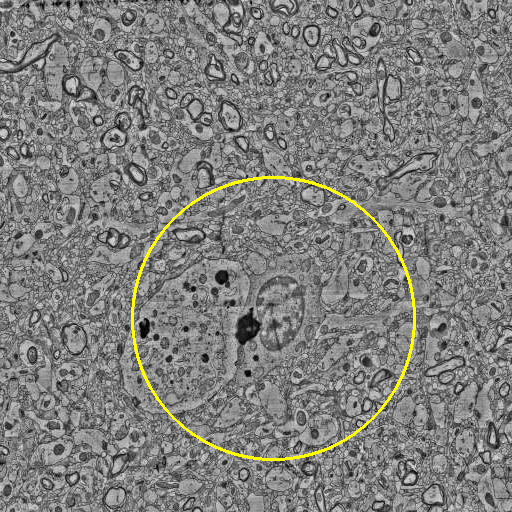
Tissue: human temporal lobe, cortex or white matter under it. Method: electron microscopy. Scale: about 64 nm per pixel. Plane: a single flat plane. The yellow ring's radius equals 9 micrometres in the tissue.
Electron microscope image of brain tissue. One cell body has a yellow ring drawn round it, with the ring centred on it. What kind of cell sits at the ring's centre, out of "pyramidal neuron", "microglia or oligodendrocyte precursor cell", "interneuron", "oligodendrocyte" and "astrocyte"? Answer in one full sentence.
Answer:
It is an oligodendrocyte whose cell body sits at the centre of the yellow ring.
